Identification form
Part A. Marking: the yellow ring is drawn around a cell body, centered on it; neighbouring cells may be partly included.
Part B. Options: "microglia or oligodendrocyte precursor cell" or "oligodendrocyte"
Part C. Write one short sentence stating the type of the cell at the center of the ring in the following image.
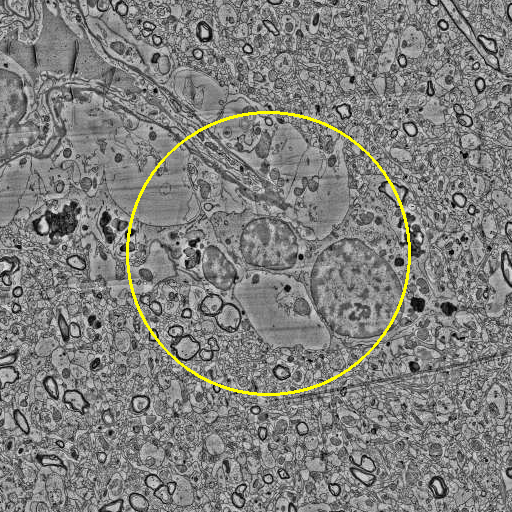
The center of the ring holds an oligodendrocyte.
